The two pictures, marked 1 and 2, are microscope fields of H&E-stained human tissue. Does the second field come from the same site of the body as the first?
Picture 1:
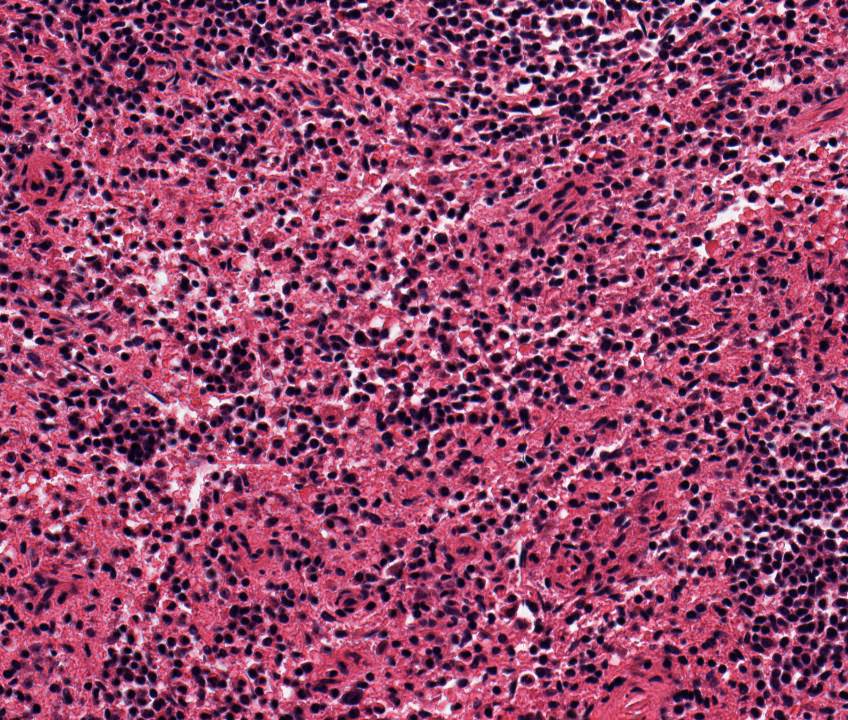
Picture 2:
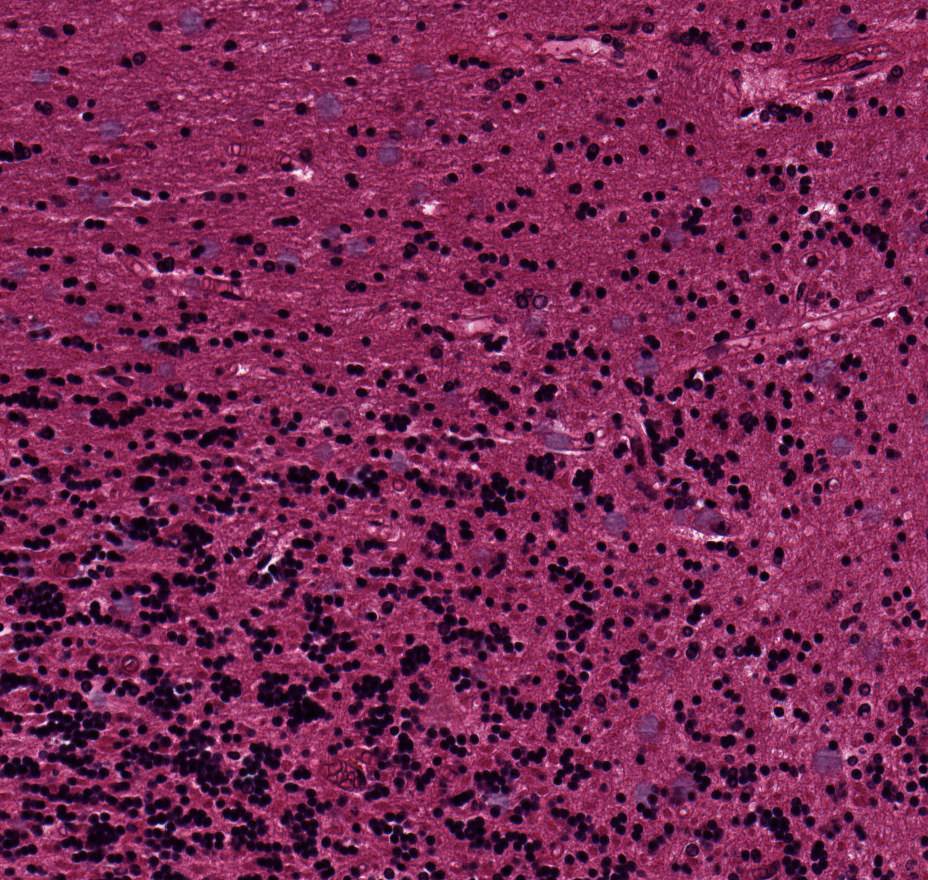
no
